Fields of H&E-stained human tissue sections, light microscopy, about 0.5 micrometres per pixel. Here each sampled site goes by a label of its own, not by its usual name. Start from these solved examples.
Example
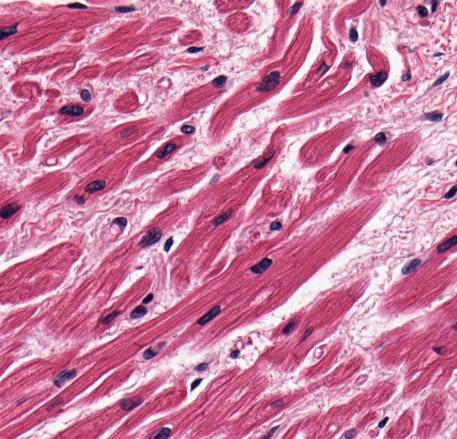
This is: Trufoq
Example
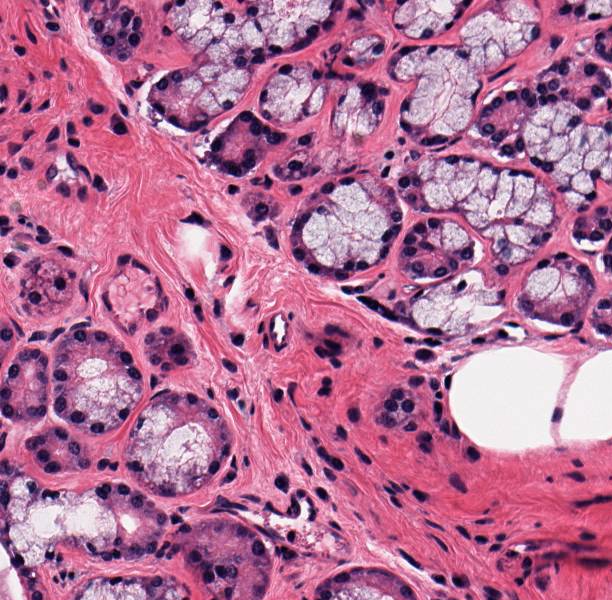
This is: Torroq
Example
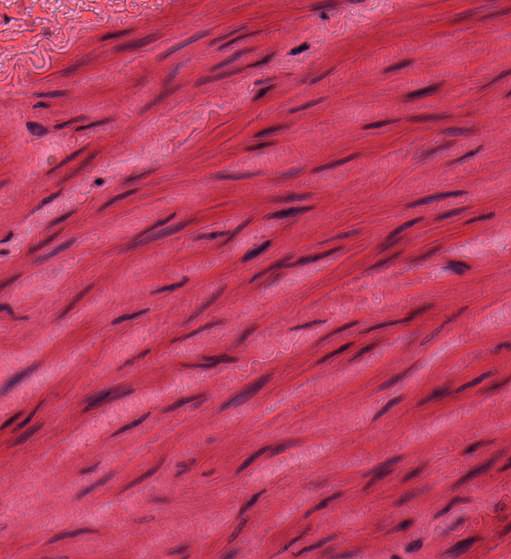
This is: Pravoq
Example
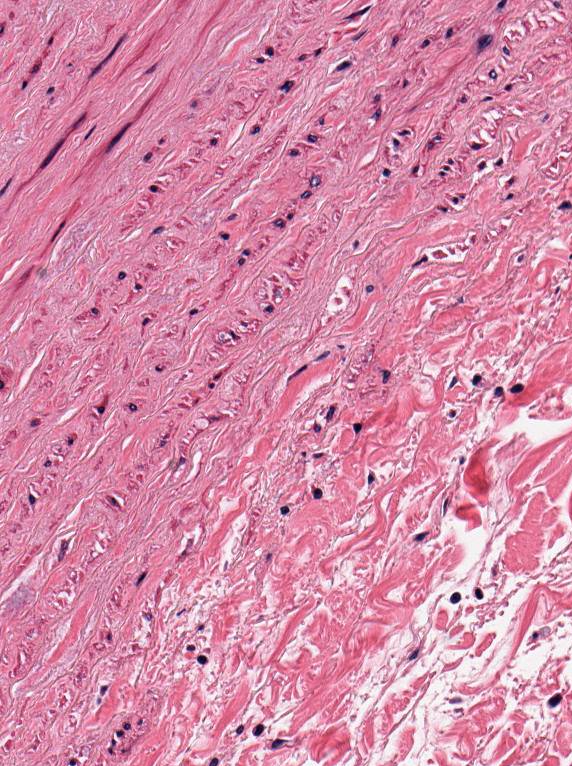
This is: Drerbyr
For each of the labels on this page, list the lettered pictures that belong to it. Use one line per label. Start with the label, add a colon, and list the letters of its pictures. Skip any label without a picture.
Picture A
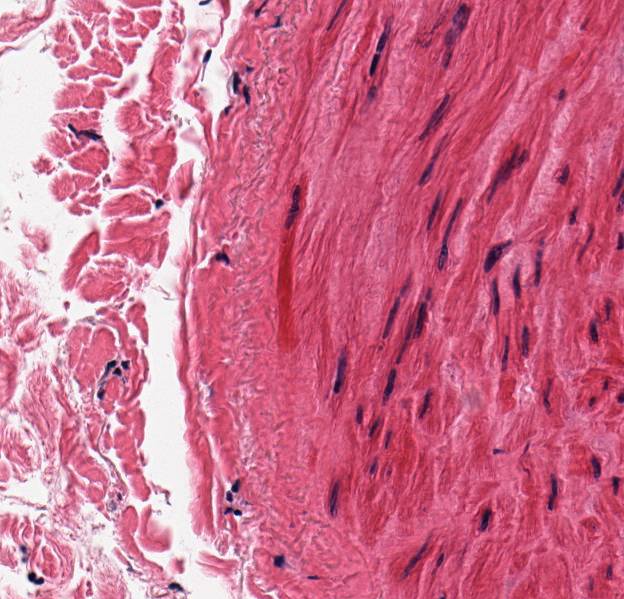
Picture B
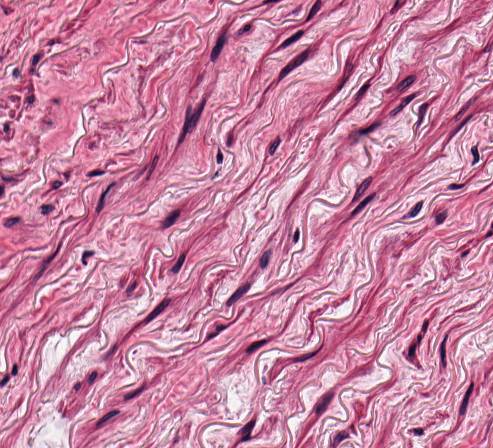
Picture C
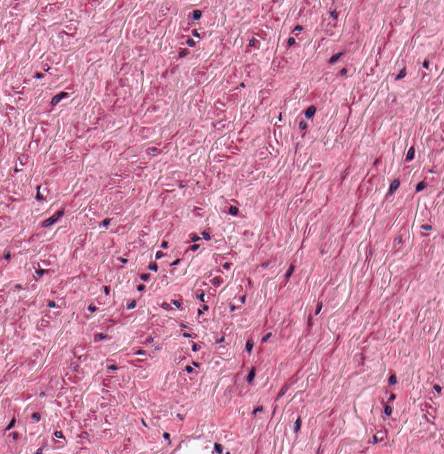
Pravoq: A
Drerbyr: B, C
